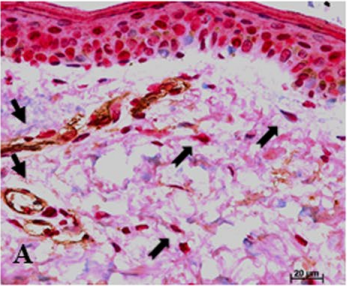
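Skin with a stratified epidermis of closely packed keratinocytes stained red along the top, overlying loose dermal connective tissue. In the dermis, vessels with lumens are lined by brown-stained cells, and scattered elongated red-stained cells lie between pale wavy fibres.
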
